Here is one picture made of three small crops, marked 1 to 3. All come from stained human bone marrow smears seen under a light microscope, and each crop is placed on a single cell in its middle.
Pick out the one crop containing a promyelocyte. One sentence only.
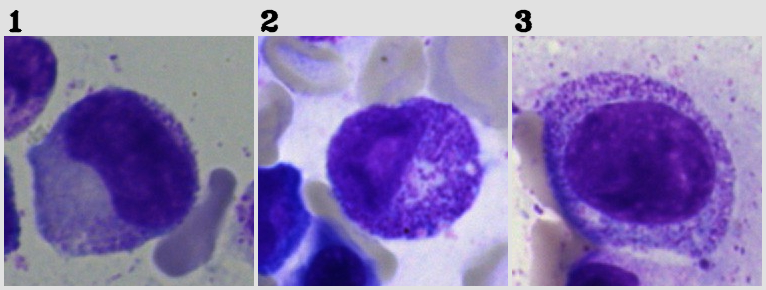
Crop 2 is identified as the crop showing a promyelocyte.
